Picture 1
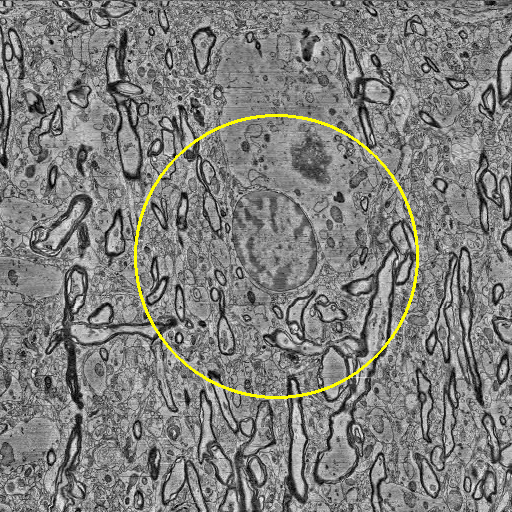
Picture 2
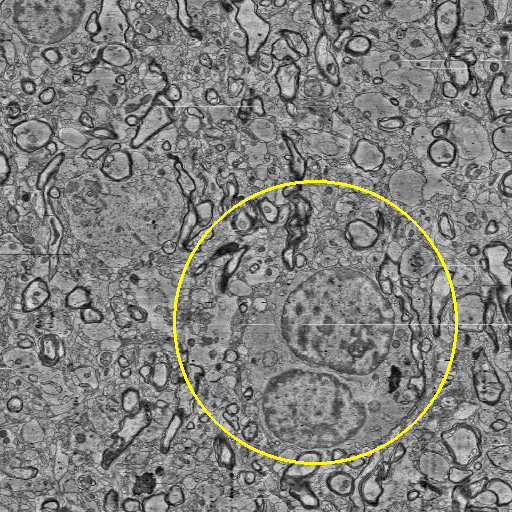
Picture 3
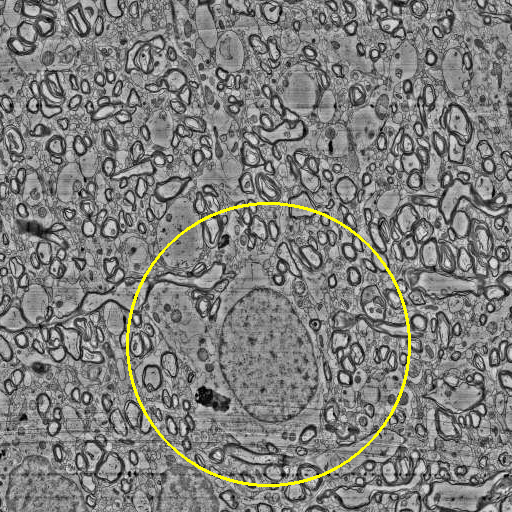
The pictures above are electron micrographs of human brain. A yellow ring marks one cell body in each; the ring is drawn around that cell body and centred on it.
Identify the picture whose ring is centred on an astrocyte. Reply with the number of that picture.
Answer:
3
